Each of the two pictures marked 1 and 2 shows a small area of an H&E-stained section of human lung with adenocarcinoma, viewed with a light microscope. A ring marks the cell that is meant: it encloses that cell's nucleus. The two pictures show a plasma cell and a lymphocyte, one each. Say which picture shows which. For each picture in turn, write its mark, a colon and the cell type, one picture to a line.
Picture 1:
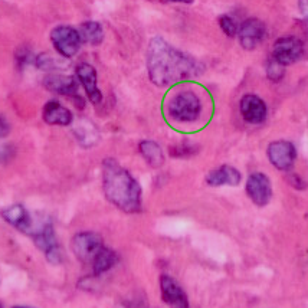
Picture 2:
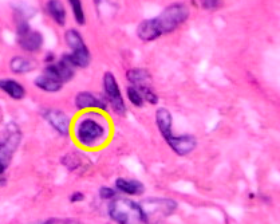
1: plasma cell
2: lymphocyte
